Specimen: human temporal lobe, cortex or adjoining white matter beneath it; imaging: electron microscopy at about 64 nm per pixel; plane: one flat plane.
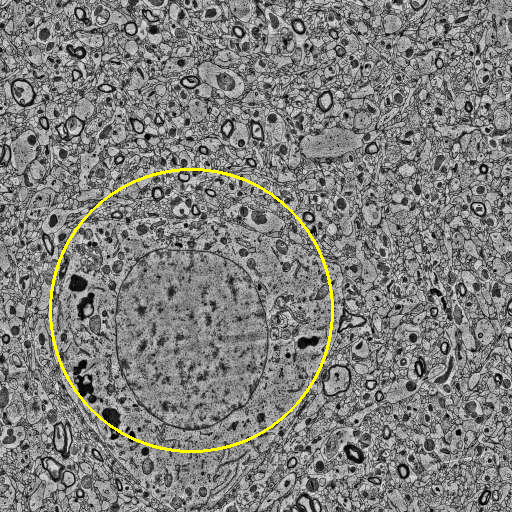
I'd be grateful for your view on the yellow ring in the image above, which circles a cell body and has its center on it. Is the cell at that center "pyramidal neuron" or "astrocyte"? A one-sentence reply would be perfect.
The cell at the center of the yellow ring is a pyramidal neuron.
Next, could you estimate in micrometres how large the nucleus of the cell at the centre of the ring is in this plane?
In this plane the nucleus is about 12 micrometres by 10.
